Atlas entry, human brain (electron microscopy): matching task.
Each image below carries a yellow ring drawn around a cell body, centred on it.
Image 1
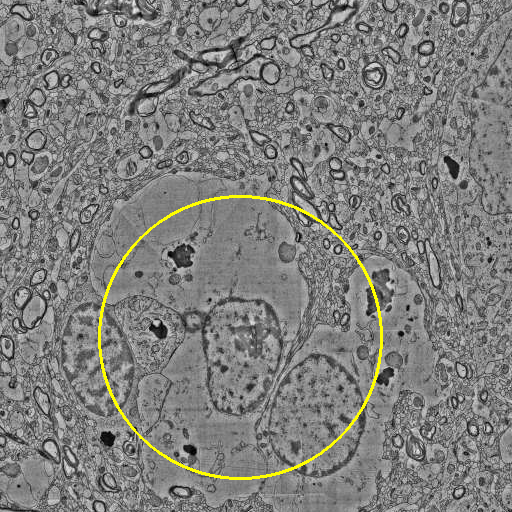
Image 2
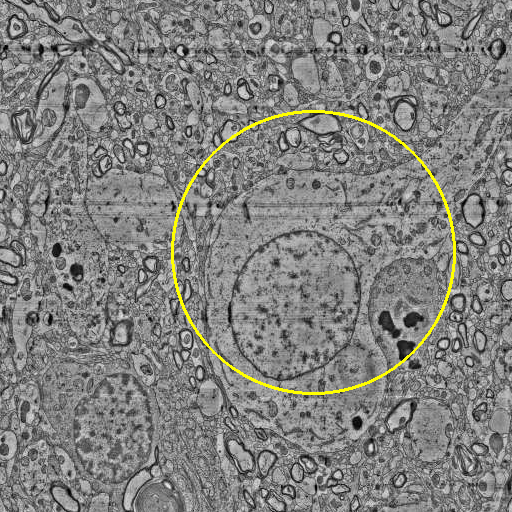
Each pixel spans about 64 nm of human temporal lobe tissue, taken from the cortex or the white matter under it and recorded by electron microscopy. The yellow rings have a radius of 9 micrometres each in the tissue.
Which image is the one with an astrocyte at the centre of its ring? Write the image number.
1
